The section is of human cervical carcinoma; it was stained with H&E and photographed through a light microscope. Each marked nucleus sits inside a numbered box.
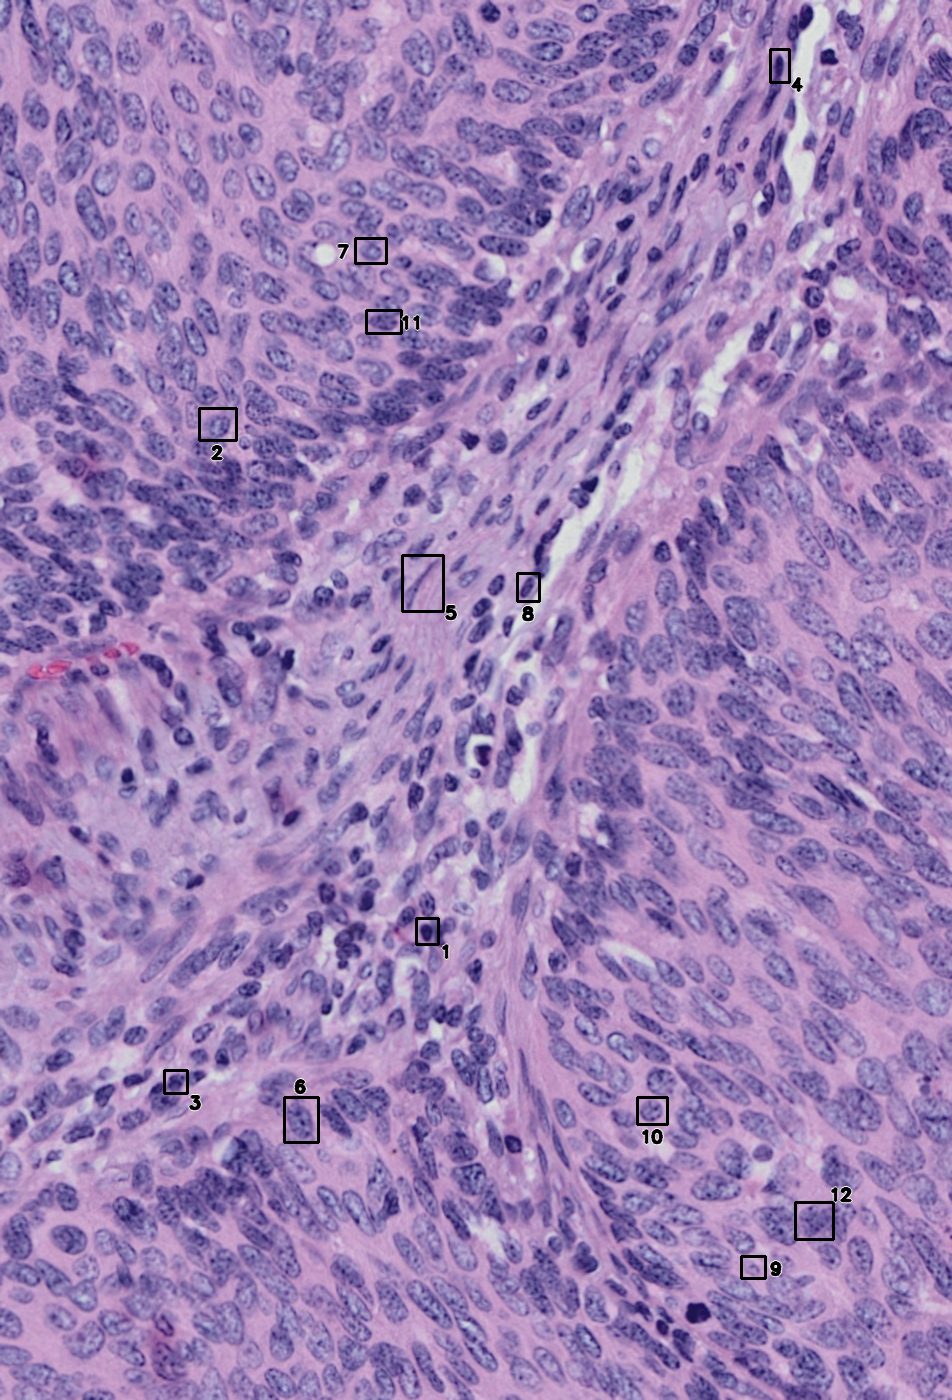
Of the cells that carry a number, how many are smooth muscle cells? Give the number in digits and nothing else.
1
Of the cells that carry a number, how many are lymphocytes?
4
